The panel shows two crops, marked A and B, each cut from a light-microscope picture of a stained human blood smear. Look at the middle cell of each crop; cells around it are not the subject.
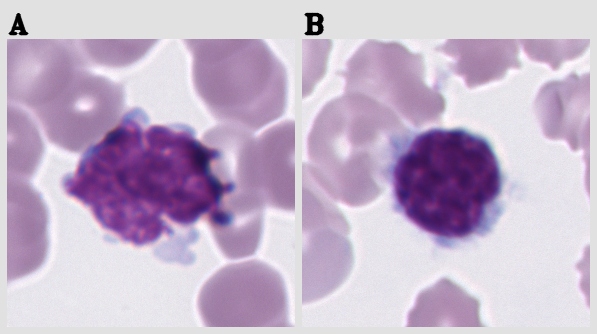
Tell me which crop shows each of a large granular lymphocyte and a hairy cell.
A: large granular lymphocyte
B: hairy cell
